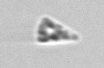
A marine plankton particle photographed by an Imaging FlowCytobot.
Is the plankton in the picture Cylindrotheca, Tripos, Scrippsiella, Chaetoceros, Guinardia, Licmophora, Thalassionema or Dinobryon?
It is Licmophora.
